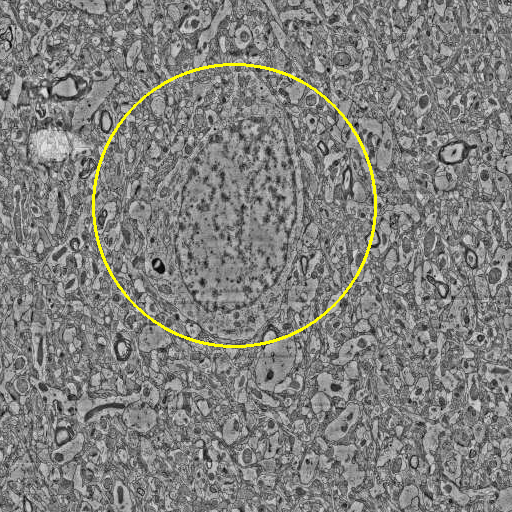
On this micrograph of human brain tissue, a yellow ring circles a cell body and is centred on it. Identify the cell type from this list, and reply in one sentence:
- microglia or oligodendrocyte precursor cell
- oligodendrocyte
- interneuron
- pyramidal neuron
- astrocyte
The cell at the centre is an interneuron.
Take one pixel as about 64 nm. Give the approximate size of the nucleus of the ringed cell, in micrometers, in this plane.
Approximately 13 micrometres long and 8 micrometres wide, so clearly longer than it is wide in this plane.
